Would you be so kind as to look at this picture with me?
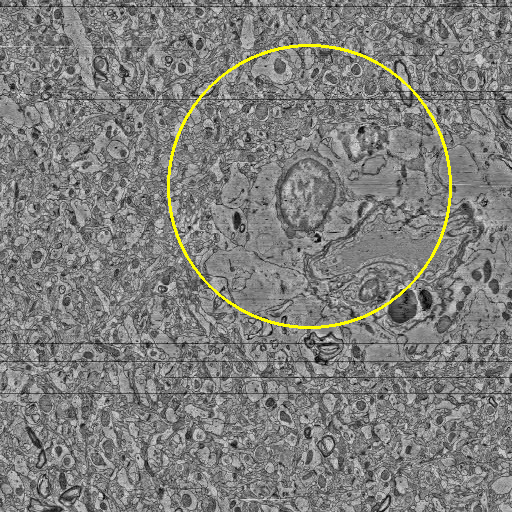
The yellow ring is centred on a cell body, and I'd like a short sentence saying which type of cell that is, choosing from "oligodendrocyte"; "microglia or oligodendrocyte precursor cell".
The cell body in the ring belongs to an oligodendrocyte.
